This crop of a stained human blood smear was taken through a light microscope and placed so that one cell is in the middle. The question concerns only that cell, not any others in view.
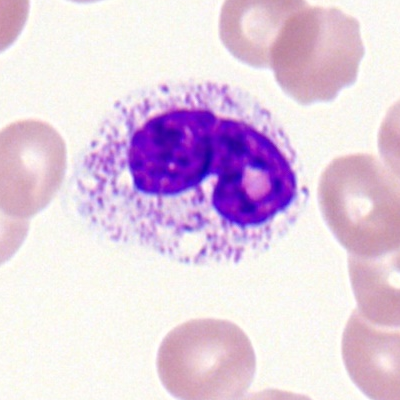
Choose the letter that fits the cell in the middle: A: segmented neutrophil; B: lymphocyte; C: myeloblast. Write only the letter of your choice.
A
